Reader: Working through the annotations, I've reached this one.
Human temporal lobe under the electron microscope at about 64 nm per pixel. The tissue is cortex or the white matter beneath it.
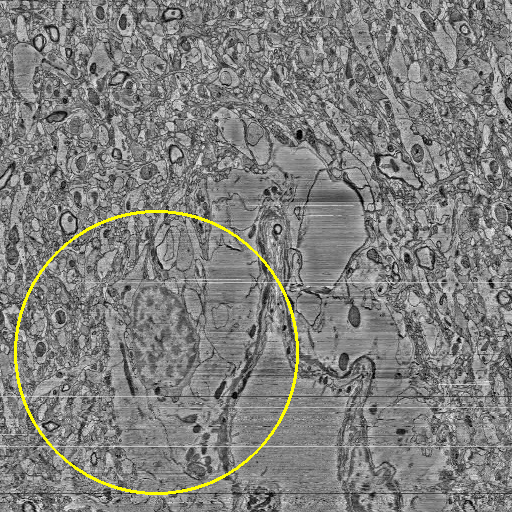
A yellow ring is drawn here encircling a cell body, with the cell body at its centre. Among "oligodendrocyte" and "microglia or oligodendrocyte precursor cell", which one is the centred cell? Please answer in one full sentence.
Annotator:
The cell body at the centre of the yellow ring in this image belongs to an oligodendrocyte.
